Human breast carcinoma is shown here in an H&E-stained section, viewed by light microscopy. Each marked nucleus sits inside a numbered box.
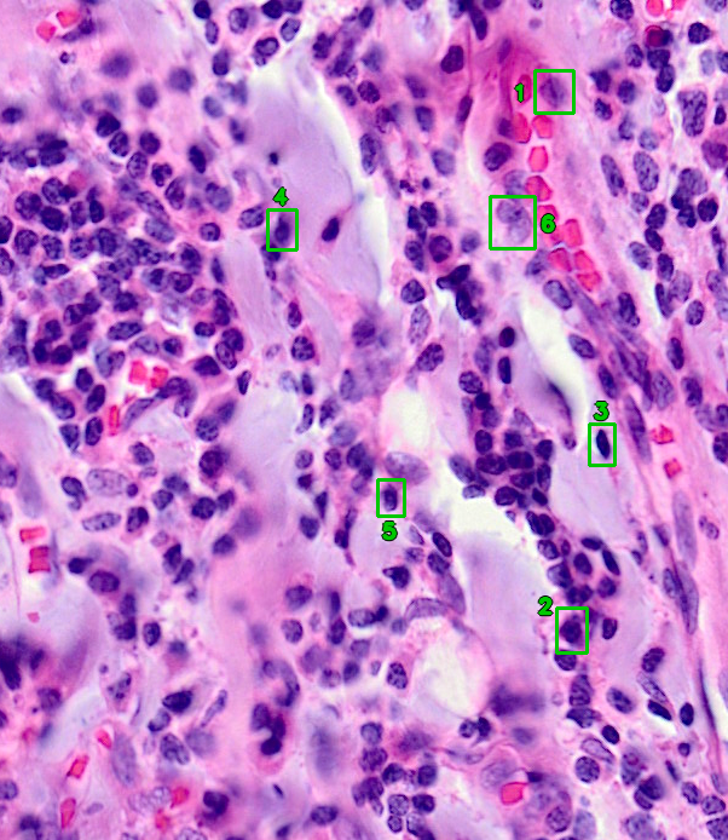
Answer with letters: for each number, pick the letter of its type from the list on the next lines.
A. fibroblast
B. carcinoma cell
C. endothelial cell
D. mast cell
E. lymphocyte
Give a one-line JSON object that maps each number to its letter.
{"1": "C", "2": "E", "3": "E", "4": "E", "5": "E", "6": "C"}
